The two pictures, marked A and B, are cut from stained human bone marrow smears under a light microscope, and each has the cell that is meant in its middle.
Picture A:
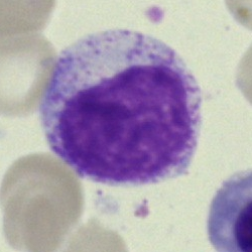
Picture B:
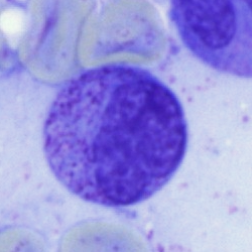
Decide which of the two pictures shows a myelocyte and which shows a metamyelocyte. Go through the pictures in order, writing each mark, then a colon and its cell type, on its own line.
A: myelocyte
B: metamyelocyte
